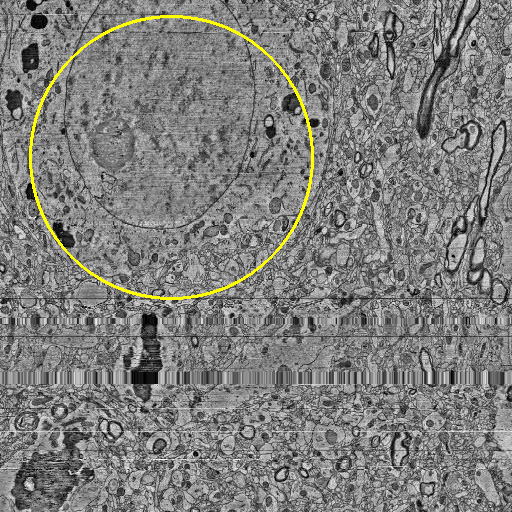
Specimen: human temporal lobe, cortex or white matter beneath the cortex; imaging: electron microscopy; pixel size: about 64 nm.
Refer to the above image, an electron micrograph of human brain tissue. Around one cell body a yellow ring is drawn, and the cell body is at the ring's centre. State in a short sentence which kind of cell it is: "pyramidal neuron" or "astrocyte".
The centre of the ring falls on a pyramidal neuron.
